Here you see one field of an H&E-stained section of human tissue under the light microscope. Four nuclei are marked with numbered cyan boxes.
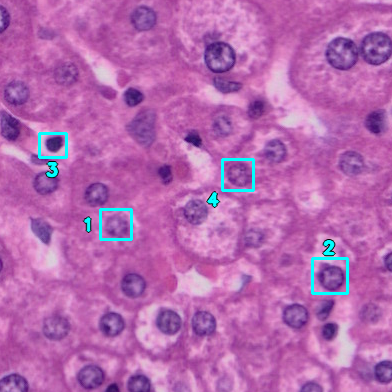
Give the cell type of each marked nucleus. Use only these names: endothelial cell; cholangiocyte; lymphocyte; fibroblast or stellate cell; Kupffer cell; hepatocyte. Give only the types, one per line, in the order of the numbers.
hepatocyte
hepatocyte
lymphocyte
hepatocyte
